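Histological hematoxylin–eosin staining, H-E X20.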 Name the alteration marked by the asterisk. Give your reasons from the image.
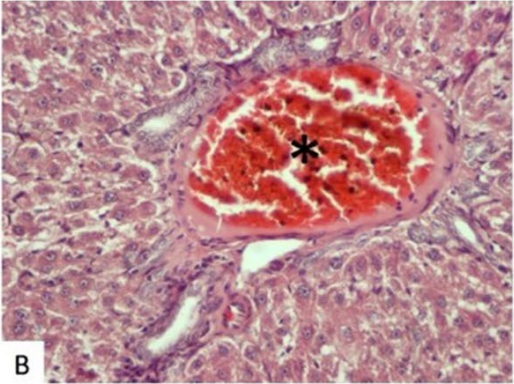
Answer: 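A vessel in a portal area is filled with densely packed bright red blood. Small ducts and vessels with connective tissue lie beside it.
Congestion.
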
